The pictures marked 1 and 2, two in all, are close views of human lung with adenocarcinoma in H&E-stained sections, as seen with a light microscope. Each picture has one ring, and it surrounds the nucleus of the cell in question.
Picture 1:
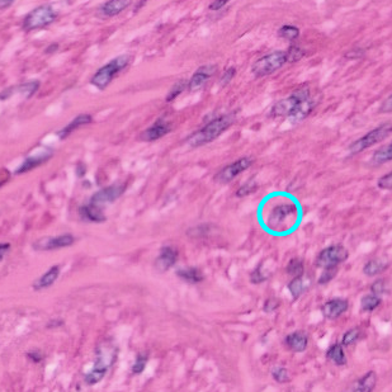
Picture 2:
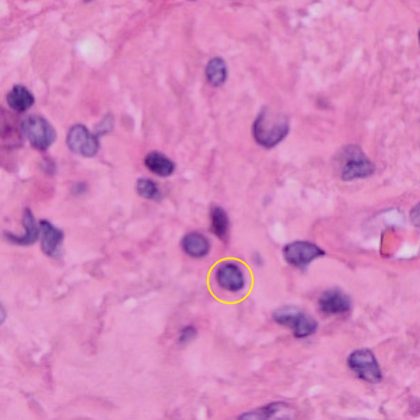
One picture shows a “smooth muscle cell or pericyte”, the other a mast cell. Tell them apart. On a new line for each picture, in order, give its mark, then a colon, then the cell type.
1: smooth muscle cell or pericyte
2: mast cell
